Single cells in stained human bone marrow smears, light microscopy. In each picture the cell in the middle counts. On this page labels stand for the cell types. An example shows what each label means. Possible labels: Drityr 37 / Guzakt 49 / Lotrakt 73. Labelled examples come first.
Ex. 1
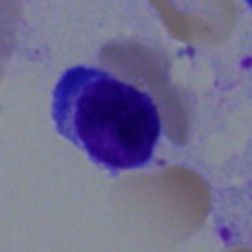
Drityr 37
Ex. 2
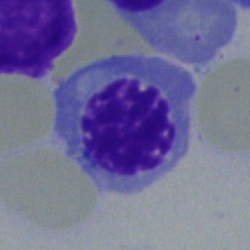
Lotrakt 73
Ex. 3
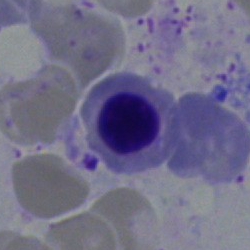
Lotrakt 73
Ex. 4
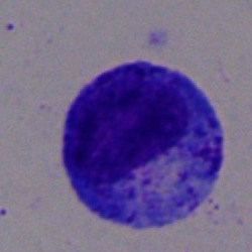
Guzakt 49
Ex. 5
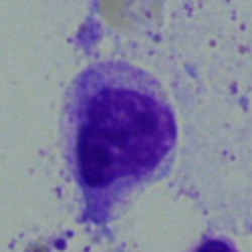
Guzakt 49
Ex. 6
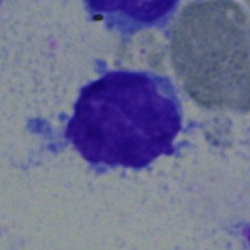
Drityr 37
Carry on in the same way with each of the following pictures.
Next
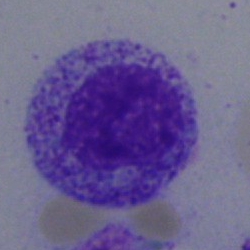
Guzakt 49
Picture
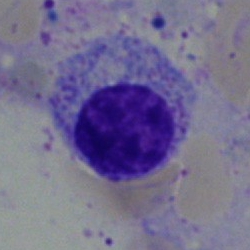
Guzakt 49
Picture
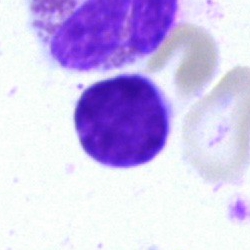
Drityr 37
